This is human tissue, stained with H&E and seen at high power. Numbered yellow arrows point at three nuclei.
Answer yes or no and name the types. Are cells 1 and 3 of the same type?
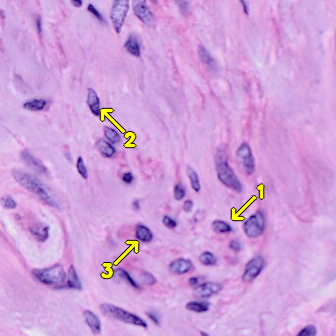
Yes, the cells bearing numbers 1 and 3 are both smooth muscle cells.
